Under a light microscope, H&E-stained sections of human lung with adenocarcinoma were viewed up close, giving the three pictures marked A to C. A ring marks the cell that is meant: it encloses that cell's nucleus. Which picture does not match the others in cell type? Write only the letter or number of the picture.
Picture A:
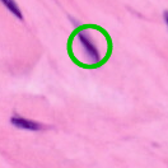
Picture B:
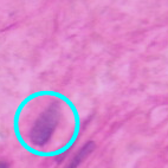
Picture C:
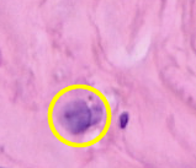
B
